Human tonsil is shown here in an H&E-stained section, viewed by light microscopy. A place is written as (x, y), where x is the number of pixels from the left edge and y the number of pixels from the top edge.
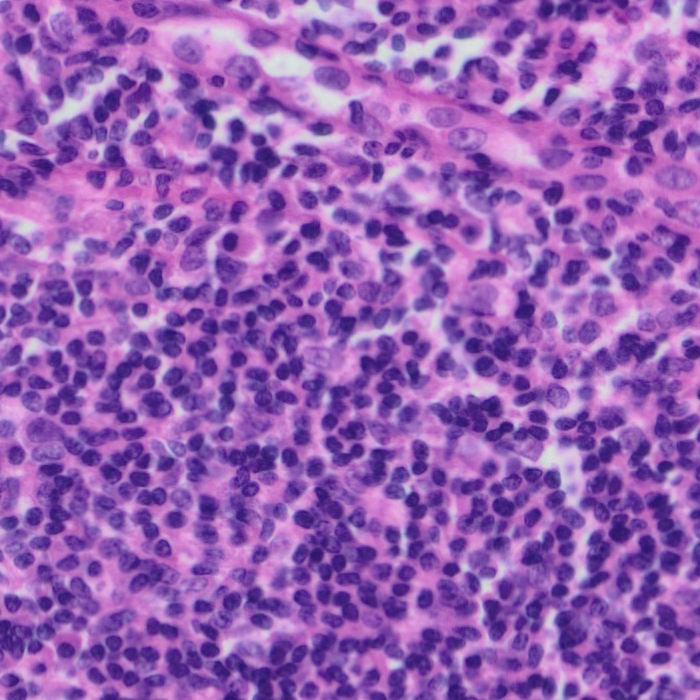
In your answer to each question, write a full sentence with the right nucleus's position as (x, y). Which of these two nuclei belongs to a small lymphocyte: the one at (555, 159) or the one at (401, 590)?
The member of the pair belonging to a small lymphocyte is the nucleus at (401, 590).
